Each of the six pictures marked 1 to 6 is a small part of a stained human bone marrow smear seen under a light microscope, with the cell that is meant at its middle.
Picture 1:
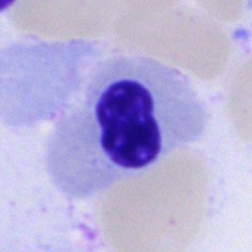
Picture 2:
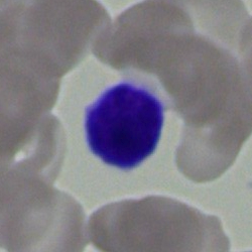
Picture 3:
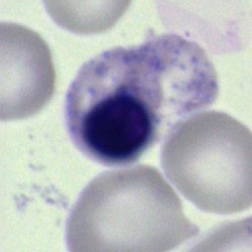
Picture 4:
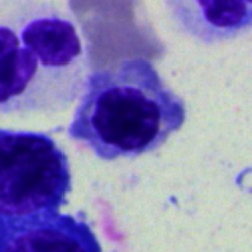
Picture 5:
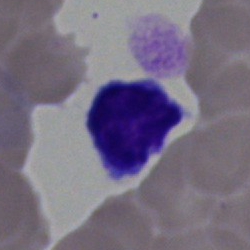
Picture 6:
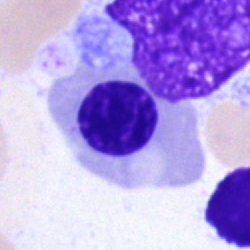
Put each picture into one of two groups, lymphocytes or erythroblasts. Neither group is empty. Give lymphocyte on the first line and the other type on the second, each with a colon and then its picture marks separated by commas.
lymphocyte: 2, 5
erythroblast: 1, 3, 4, 6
